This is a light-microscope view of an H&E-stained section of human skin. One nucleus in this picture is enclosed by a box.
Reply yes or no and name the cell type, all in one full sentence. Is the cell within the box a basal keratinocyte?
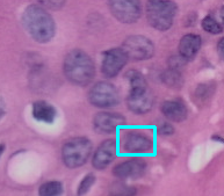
Yes, in short, the cell within the box is a basal keratinocyte here.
